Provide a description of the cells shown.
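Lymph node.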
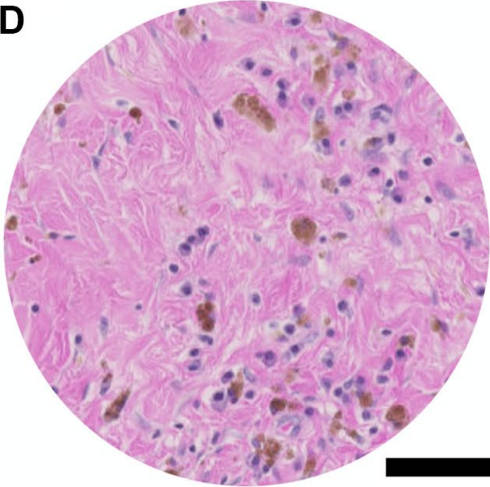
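This field shows bleeding residues within fibrous tissue: wavy pink collagen bundles fill the background. Scattered among them are clumps of coarse golden-brown pigment, many lying within rounded cells. Other cells with small oval or spindle-shaped purple nuclei are dispersed loosely through the collagen.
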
